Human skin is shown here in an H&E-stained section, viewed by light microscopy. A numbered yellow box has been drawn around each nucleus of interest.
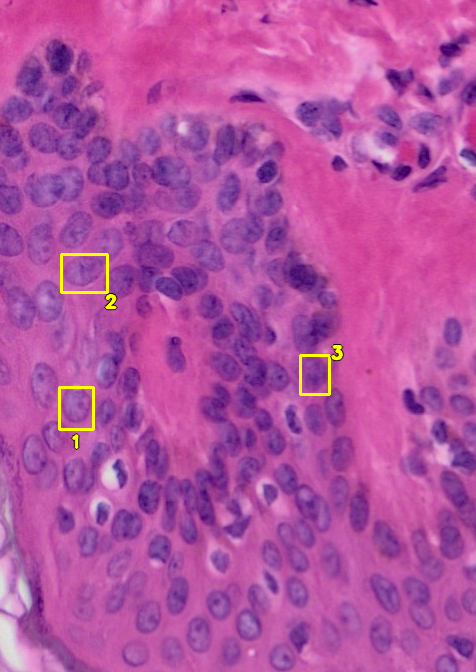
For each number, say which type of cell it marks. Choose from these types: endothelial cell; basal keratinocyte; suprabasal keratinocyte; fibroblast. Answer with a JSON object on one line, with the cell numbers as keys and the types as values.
{"1": "suprabasal keratinocyte", "2": "suprabasal keratinocyte", "3": "basal keratinocyte"}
